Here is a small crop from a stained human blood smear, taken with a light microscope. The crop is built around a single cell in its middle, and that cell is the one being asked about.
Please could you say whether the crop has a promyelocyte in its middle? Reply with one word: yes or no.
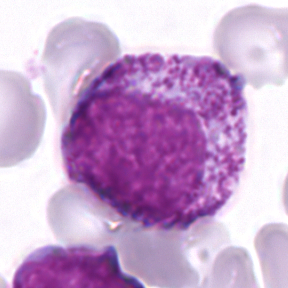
no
